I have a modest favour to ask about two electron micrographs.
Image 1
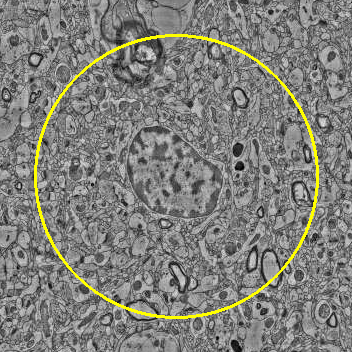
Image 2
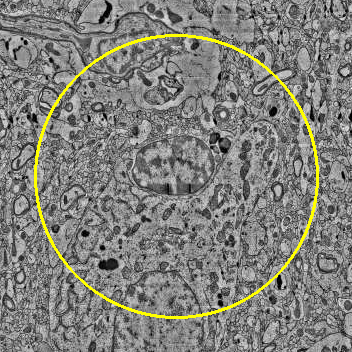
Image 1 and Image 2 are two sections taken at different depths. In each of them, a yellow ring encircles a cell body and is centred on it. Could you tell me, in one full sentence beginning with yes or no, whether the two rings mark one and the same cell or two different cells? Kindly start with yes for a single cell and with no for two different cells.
No, these are two different cells, each marked with a ring.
